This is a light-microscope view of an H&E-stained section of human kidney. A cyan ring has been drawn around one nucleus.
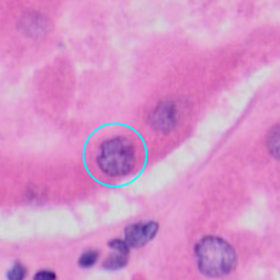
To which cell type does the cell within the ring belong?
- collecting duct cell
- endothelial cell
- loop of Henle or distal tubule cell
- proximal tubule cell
proximal tubule cell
